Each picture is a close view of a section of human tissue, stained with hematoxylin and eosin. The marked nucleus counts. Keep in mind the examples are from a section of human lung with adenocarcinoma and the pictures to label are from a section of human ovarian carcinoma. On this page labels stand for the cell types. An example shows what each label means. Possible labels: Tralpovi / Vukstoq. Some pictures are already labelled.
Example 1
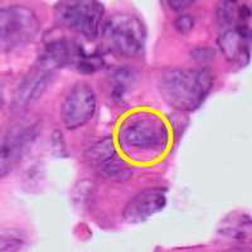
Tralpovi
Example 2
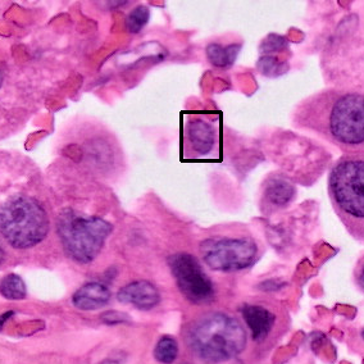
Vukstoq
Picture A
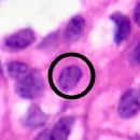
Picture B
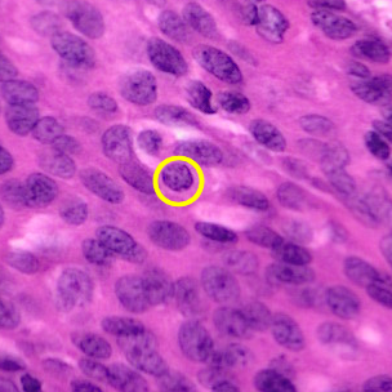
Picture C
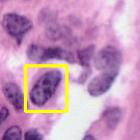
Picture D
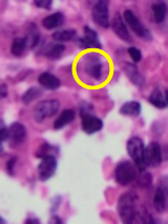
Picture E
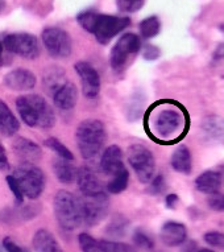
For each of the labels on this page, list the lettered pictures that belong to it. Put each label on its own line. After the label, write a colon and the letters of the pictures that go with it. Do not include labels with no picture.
Vukstoq: A, B, C, D, E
